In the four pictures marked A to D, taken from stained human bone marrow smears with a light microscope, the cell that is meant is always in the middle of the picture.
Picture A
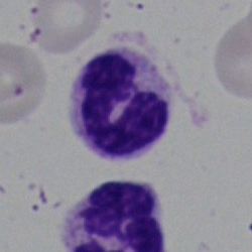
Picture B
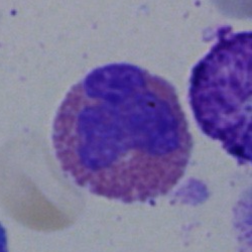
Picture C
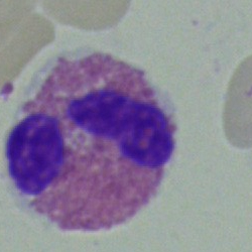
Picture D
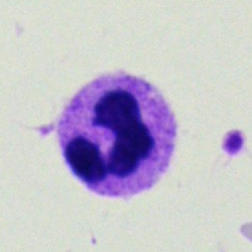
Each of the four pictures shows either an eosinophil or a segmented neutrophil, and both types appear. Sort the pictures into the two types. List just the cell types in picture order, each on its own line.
segmented neutrophil
eosinophil
eosinophil
segmented neutrophil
